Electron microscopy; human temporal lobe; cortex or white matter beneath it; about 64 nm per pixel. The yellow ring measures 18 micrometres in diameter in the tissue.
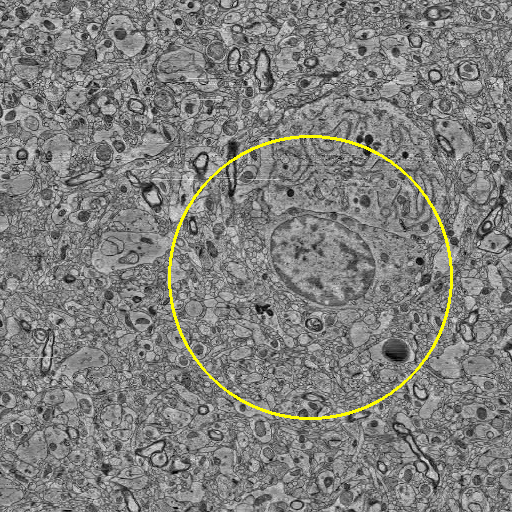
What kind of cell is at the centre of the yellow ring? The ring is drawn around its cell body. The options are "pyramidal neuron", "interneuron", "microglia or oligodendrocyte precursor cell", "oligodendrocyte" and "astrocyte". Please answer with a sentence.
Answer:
The yellow ring marks the cell body of an oligodendrocyte.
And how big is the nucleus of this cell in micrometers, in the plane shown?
In this plane the nucleus is about 7 micrometres by 5.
